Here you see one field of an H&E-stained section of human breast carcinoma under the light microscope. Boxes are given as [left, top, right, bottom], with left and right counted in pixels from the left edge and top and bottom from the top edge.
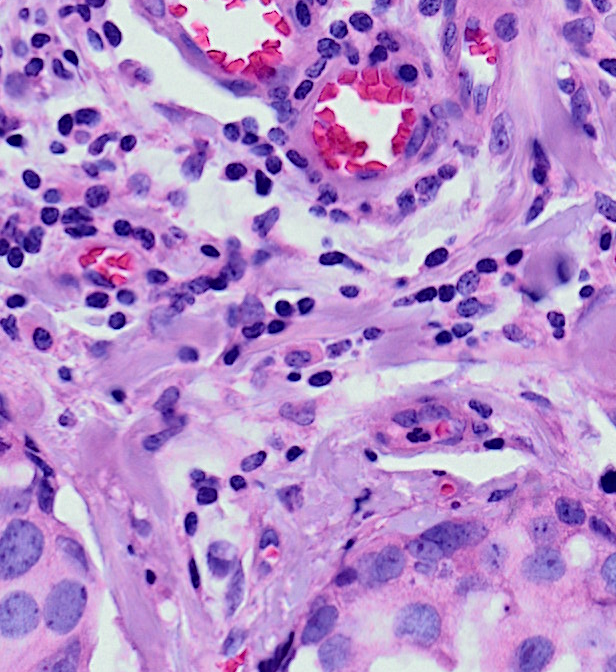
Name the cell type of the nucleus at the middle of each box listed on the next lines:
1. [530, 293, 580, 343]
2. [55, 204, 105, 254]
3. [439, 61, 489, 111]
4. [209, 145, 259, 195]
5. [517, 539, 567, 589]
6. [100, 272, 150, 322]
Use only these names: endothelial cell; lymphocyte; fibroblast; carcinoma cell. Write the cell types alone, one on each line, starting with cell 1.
lymphocyte
lymphocyte
endothelial cell
lymphocyte
carcinoma cell
lymphocyte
